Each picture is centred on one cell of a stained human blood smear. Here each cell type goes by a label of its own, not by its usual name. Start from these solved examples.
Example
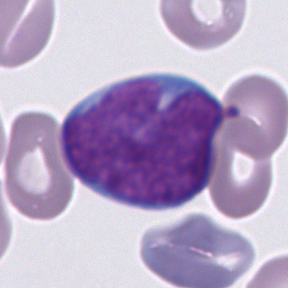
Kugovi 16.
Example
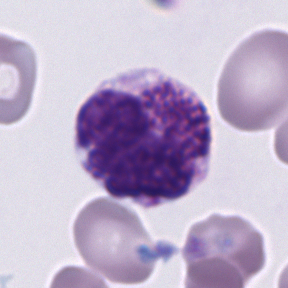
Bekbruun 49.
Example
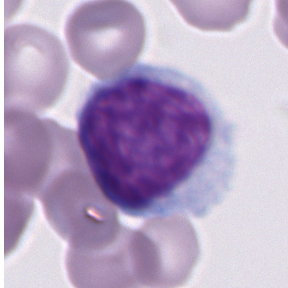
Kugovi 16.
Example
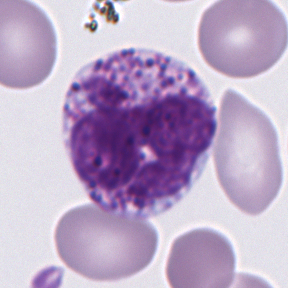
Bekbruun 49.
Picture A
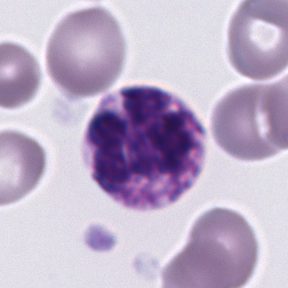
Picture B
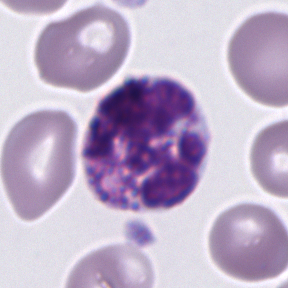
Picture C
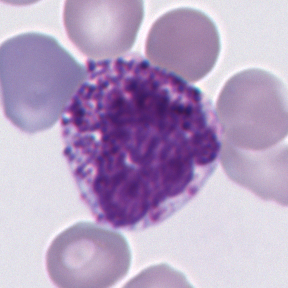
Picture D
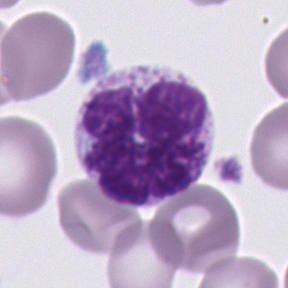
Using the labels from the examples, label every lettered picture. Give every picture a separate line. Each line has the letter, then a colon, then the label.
A: Bekbruun 49.
B: Bekbruun 49.
C: Bekbruun 49.
D: Bekbruun 49.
